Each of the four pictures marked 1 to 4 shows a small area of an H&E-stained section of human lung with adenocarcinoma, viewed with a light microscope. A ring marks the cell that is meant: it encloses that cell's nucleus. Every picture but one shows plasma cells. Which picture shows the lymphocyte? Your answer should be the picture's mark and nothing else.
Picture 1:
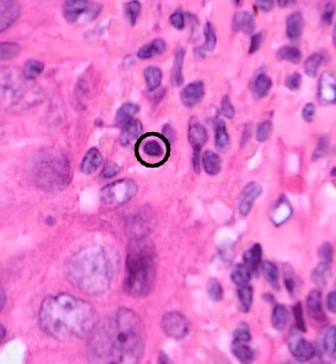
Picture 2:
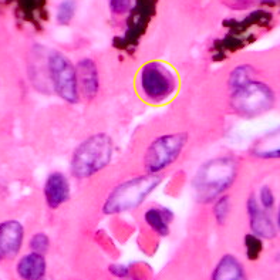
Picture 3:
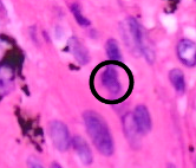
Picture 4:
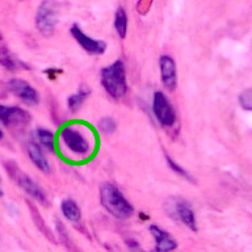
1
